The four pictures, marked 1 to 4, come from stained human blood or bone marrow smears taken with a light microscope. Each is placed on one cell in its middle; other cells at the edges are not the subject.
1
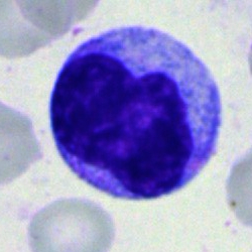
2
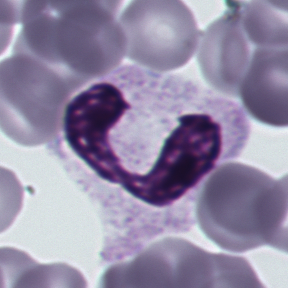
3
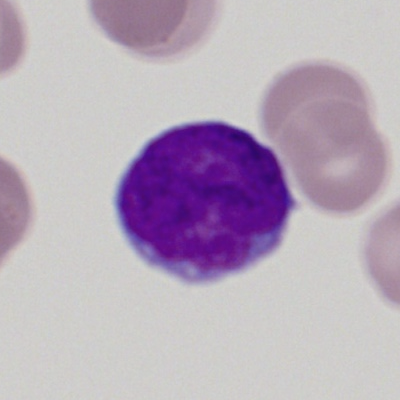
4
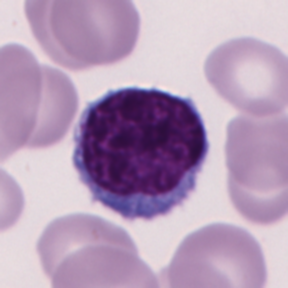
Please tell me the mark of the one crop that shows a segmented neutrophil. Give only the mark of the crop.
2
